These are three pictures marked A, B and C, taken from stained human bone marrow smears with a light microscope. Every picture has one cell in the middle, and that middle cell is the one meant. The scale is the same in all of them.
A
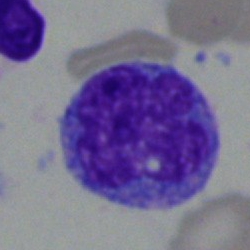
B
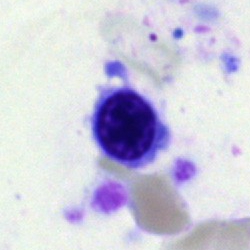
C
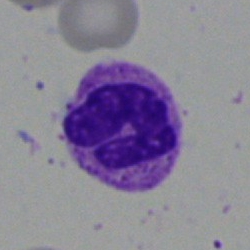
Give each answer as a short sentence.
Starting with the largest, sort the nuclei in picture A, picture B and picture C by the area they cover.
The order is A, C, B, beginning with the largest.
